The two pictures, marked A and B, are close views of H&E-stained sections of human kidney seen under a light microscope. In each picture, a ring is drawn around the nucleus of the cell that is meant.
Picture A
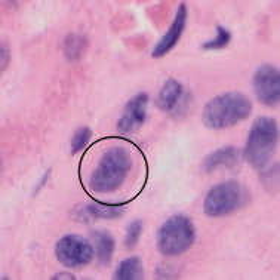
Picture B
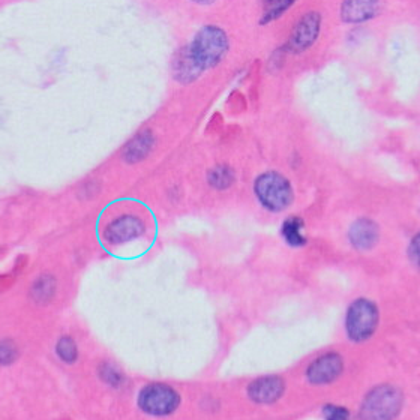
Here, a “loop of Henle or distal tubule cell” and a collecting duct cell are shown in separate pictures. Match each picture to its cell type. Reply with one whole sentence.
It is picture A that shows a collecting duct cell, and picture B that shows a “loop of Henle or distal tubule cell”.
